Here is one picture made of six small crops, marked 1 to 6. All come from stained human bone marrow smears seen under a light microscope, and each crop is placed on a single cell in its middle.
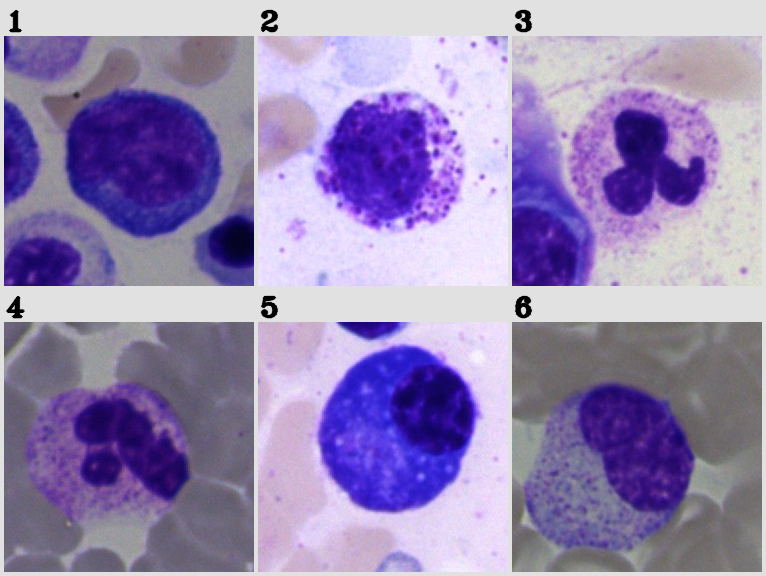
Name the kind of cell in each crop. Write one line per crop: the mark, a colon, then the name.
1: blast
2: basophil
3: segmented neutrophil
4: segmented neutrophil
5: plasma cell
6: metamyelocyte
